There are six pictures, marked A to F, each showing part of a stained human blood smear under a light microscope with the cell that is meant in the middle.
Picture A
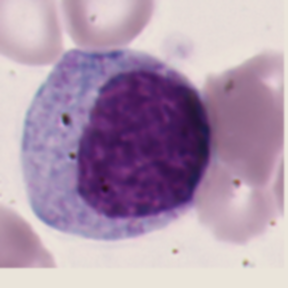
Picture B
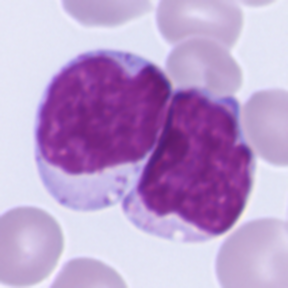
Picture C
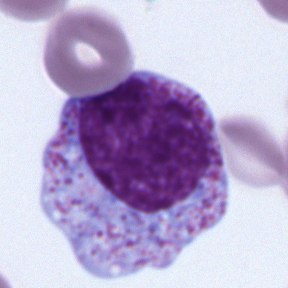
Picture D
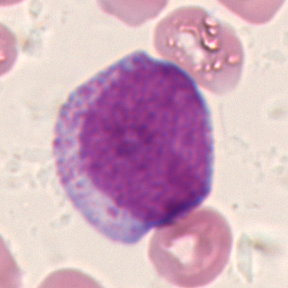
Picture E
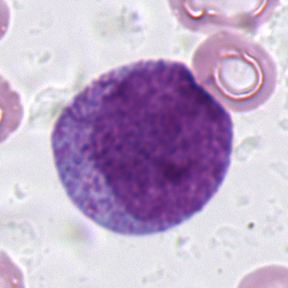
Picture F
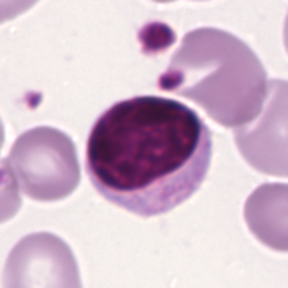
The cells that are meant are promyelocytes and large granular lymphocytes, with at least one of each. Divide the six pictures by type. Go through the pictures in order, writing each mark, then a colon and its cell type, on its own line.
A: promyelocyte
B: large granular lymphocyte
C: promyelocyte
D: promyelocyte
E: promyelocyte
F: large granular lymphocyte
